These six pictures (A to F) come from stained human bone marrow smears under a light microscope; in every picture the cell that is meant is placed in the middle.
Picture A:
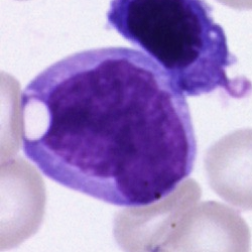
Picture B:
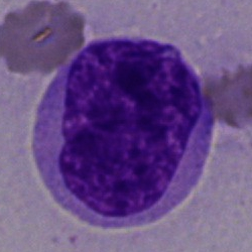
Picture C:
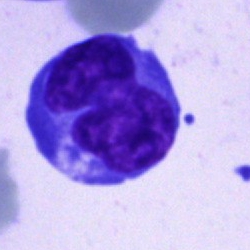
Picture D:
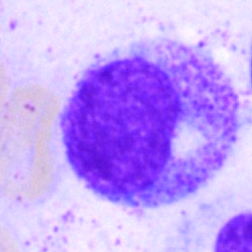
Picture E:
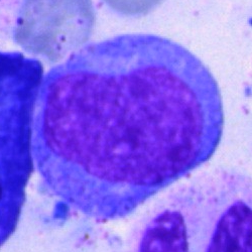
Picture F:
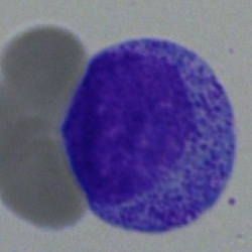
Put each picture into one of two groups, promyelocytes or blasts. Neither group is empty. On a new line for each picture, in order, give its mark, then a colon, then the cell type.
A: blast
B: blast
C: blast
D: promyelocyte
E: blast
F: promyelocyte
